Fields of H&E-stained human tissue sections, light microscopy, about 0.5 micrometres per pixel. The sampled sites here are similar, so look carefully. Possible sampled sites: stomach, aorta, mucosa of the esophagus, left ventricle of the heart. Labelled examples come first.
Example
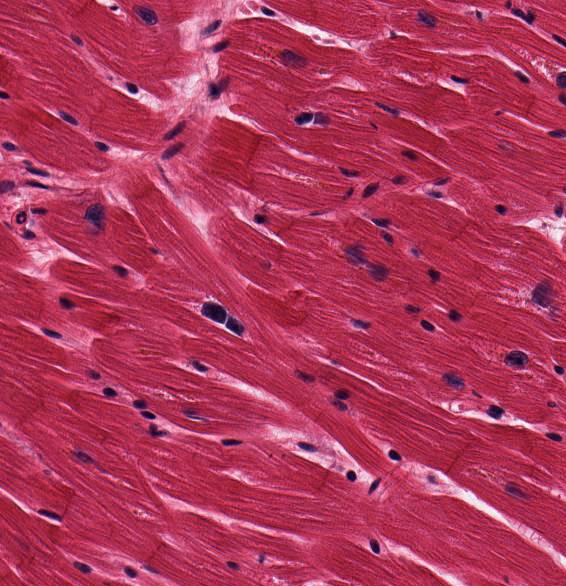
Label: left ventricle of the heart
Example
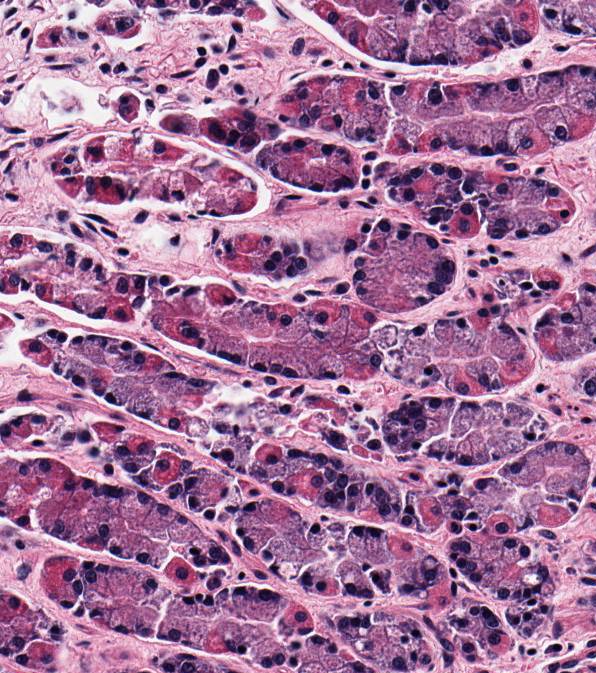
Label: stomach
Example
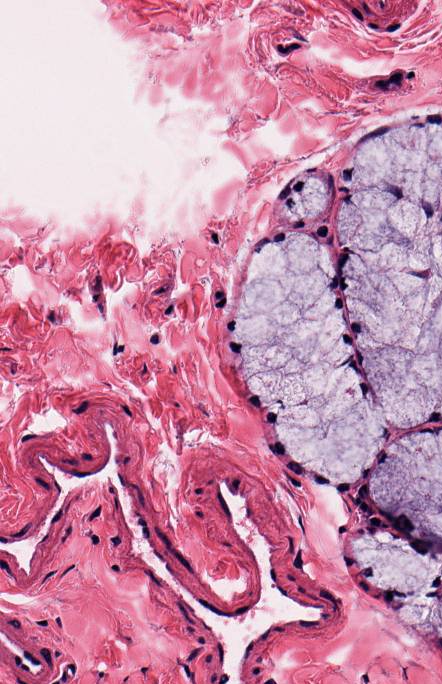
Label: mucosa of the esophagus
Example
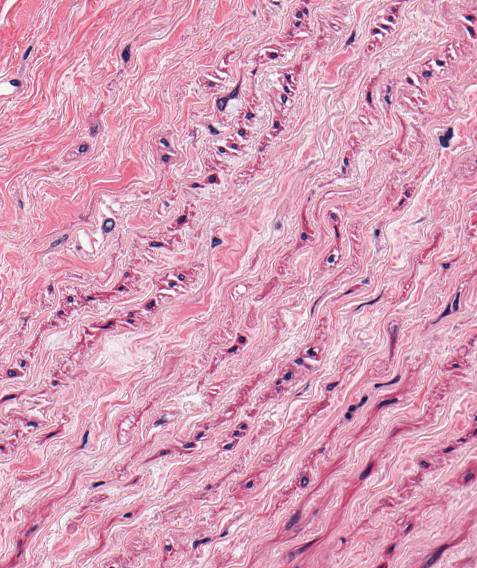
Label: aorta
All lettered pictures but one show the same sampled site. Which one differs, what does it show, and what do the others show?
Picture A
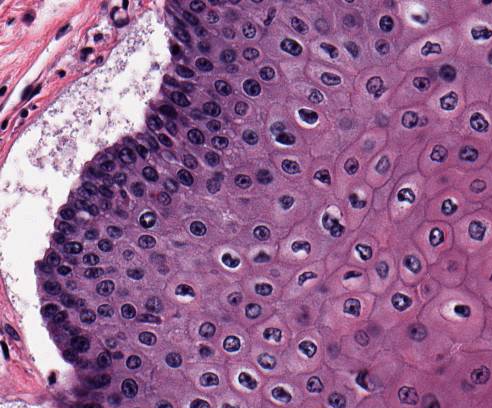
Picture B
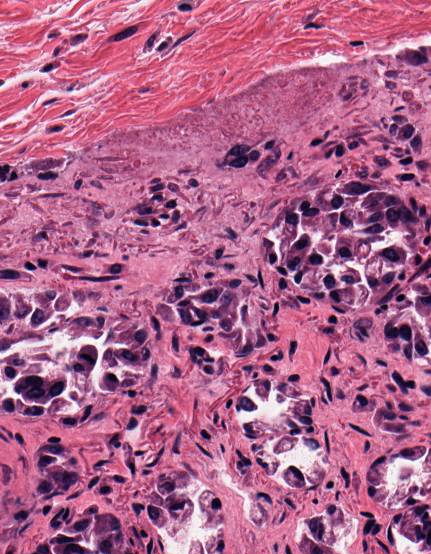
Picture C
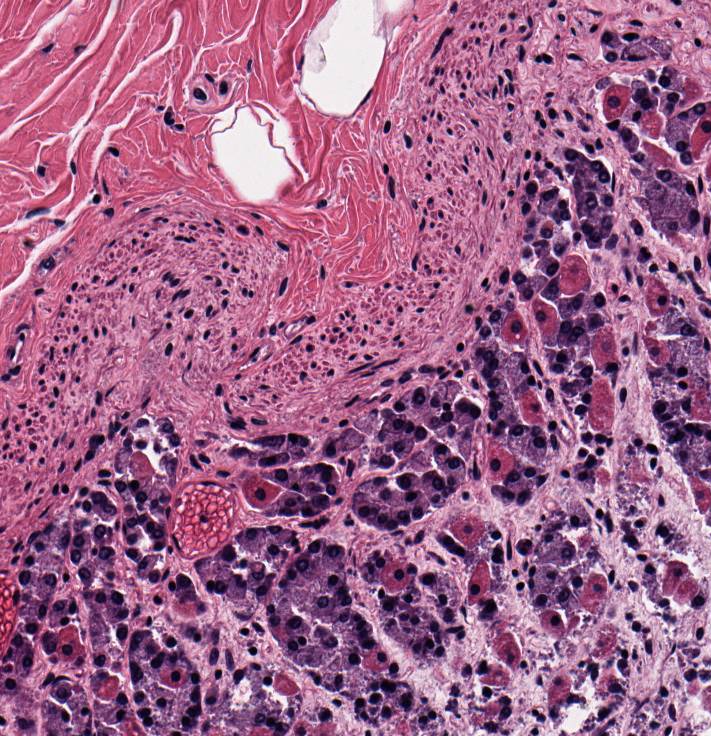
Odd one out: A (mucosa of the esophagus). The rest: stomach.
